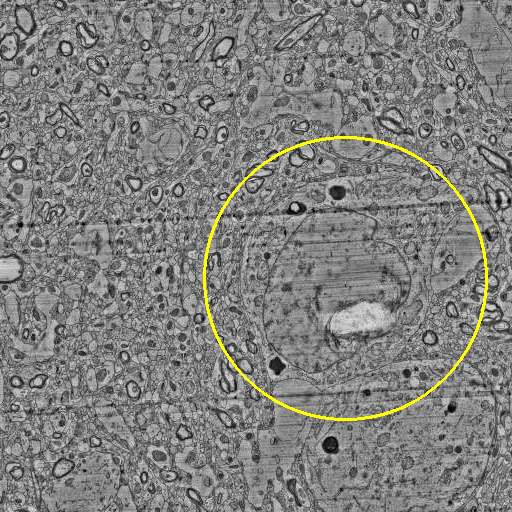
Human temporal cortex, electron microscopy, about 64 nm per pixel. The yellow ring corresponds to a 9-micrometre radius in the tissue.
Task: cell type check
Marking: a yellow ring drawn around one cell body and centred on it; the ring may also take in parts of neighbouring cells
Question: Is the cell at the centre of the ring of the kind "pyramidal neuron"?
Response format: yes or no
yes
